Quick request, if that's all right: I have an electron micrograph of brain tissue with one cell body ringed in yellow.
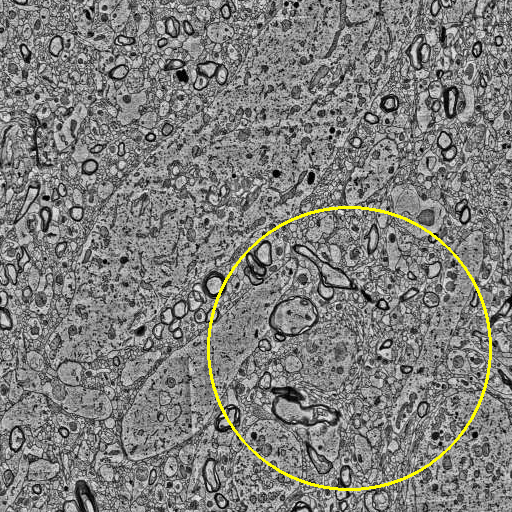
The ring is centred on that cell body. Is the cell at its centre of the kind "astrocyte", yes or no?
no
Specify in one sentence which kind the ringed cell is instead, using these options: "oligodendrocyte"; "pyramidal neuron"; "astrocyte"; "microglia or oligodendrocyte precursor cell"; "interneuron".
The cell circled by the yellow ring is an oligodendrocyte.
